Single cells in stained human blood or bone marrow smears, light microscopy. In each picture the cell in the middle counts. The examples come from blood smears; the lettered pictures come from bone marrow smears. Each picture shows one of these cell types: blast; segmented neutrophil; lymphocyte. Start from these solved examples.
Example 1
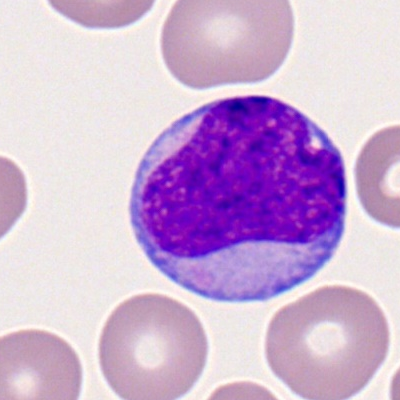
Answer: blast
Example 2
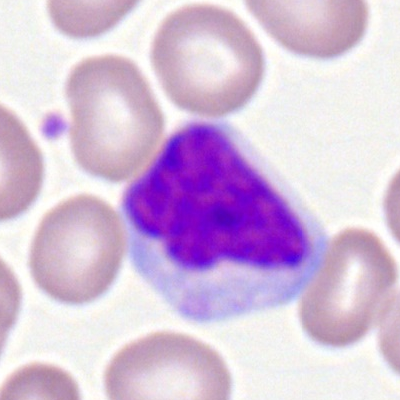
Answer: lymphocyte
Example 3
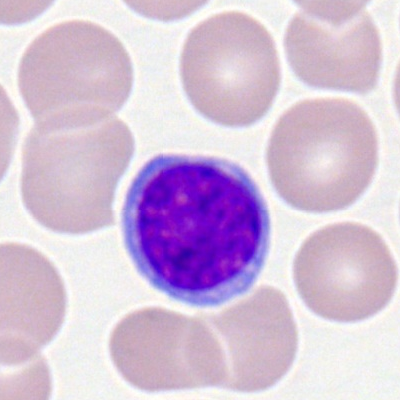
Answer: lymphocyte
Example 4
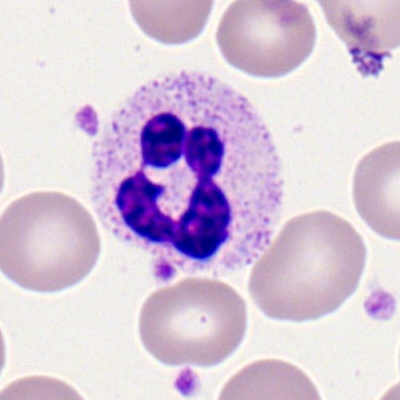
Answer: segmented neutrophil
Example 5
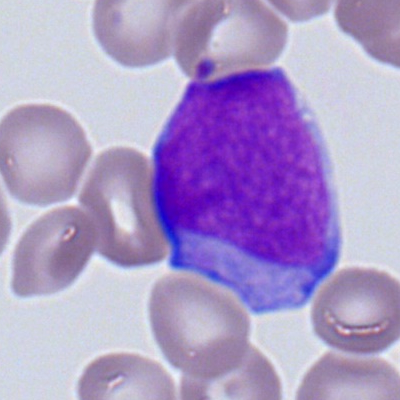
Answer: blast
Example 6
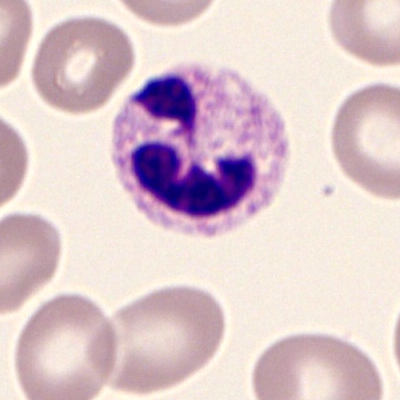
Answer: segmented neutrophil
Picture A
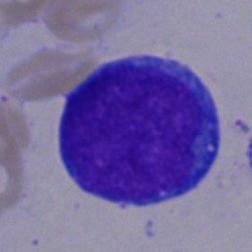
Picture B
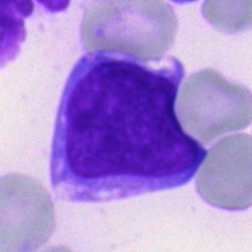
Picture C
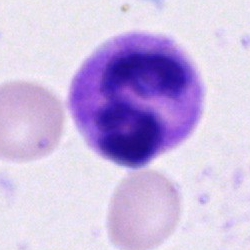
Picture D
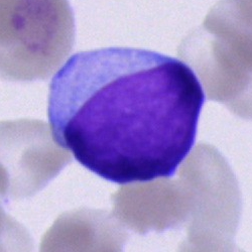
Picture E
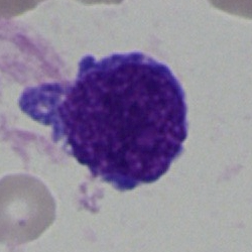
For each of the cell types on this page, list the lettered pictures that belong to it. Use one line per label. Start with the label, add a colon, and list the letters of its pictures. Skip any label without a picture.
blast: A, B, D, E
segmented neutrophil: C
